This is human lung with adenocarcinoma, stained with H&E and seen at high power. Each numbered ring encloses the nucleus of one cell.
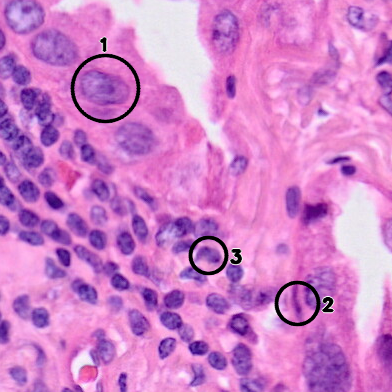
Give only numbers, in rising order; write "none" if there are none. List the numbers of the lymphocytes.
3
